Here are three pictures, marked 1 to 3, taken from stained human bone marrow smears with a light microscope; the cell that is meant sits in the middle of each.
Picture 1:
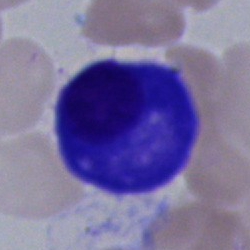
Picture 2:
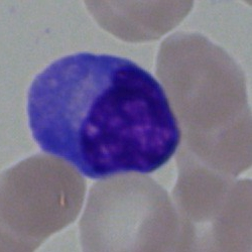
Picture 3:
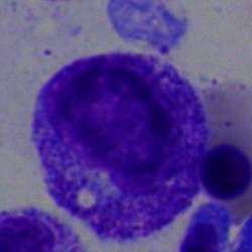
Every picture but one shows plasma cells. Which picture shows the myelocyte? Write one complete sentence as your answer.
The myelocyte is the one in picture 3.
